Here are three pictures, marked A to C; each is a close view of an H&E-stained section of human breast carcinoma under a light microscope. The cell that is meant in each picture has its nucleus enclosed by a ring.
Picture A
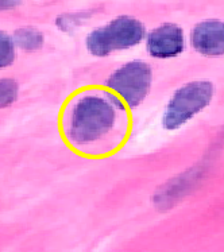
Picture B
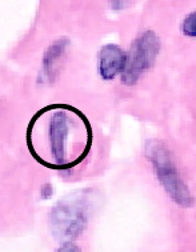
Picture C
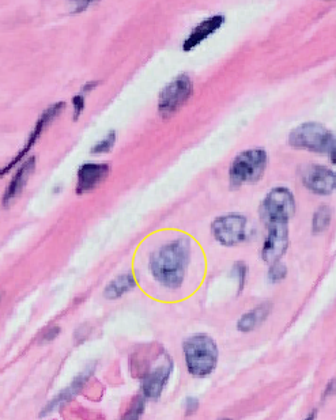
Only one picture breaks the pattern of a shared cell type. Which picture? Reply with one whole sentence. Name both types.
Unlike the rest, which show endothelial cells, picture A shows a carcinoma cell.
